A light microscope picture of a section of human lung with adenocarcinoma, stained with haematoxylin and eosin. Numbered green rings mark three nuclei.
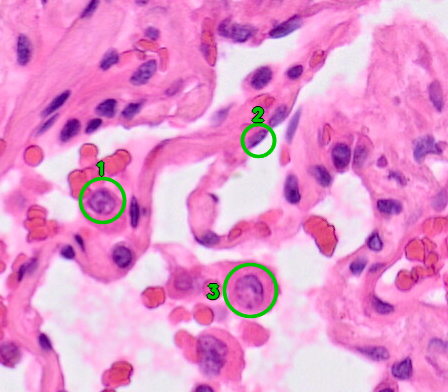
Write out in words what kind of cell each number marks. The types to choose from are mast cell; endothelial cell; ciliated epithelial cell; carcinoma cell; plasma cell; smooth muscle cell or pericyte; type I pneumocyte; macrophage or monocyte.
Cells 1 and 3 are macrophages or monocytes. Cell 2 is a type I pneumocyte.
